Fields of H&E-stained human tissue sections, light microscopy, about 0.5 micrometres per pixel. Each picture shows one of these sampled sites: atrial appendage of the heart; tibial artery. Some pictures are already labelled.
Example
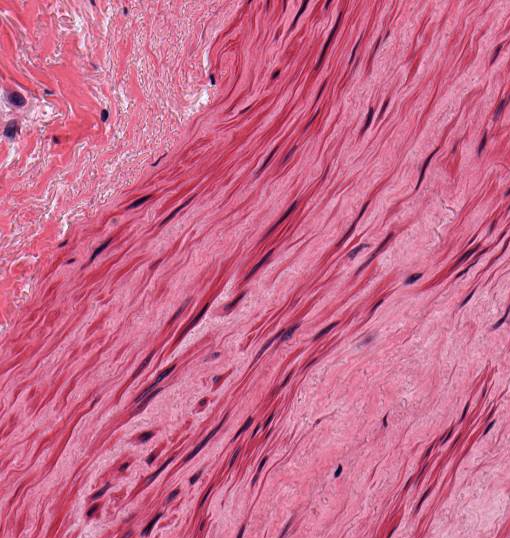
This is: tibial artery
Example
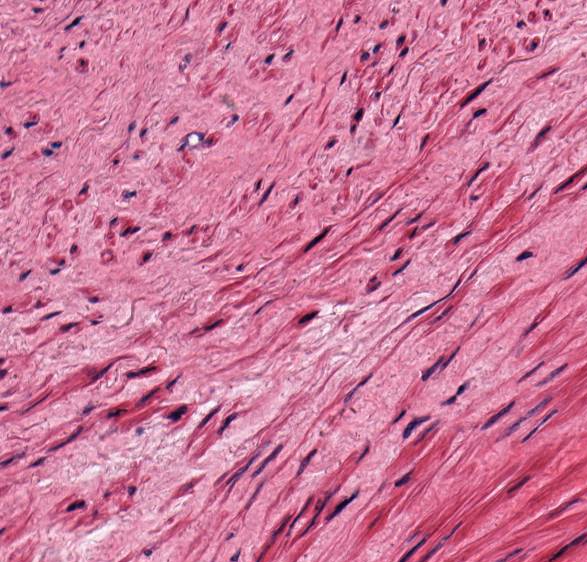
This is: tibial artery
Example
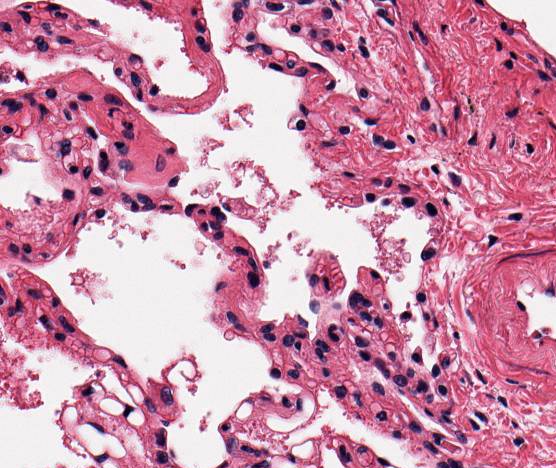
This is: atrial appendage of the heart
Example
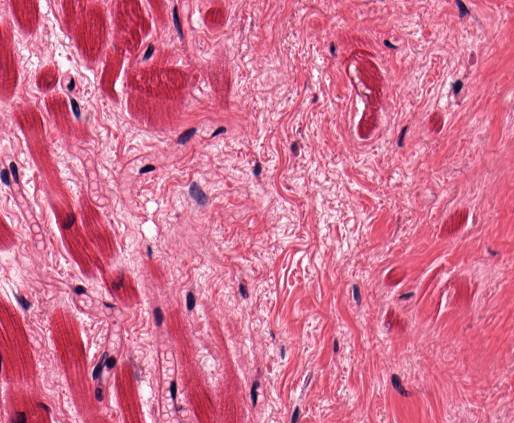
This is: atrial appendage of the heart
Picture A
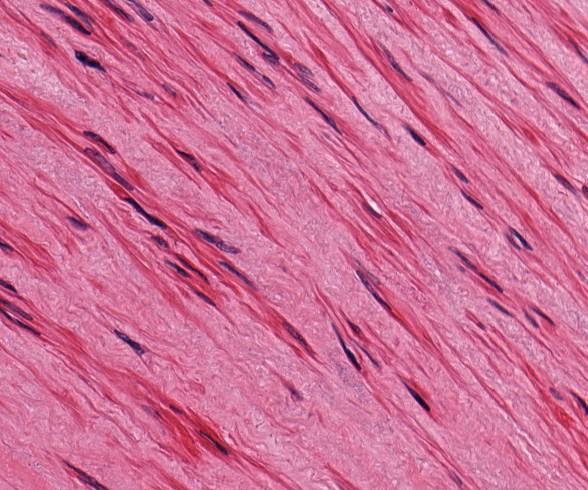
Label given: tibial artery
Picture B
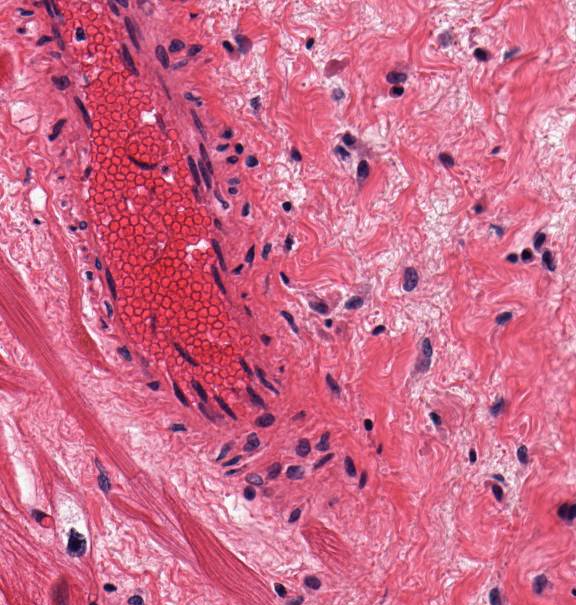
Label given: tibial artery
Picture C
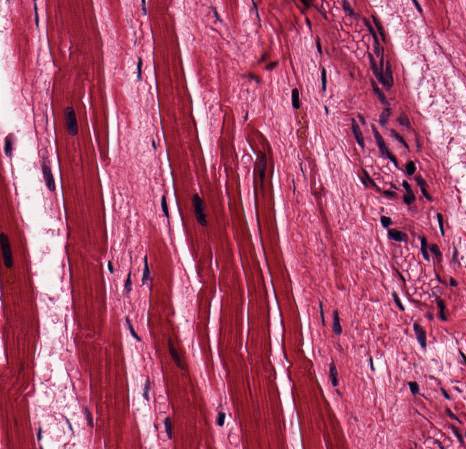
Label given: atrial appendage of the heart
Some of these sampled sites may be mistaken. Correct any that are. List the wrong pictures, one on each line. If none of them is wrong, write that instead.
B is labelled tibial artery; correct label: atrial appendage of the heart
